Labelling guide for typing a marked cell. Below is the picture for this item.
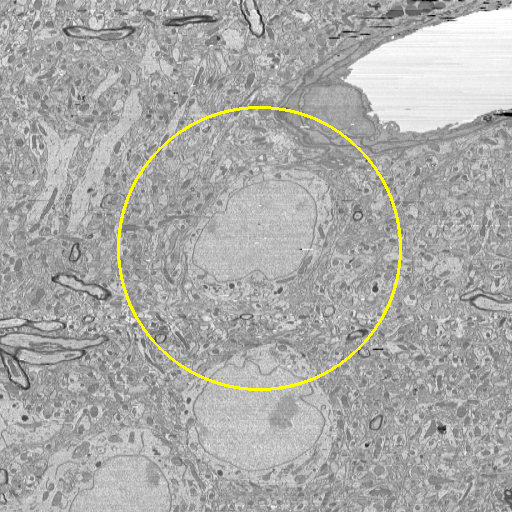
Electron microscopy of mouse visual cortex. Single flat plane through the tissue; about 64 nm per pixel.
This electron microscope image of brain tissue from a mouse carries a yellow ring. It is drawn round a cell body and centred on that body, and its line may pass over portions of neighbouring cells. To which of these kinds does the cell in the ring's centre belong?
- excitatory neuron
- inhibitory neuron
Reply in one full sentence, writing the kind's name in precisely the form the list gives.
Here we have an excitatory neuron at the centre of the yellow ring in the picture.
